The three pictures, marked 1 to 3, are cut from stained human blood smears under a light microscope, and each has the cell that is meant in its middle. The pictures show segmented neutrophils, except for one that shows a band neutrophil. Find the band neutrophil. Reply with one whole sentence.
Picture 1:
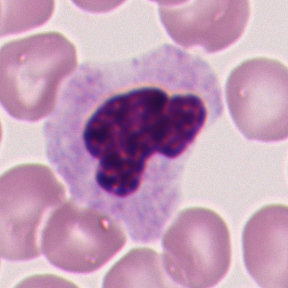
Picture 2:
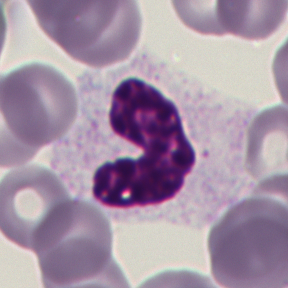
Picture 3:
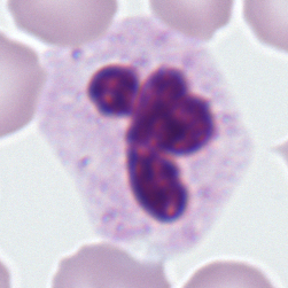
Picture 2 shows the band neutrophil.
